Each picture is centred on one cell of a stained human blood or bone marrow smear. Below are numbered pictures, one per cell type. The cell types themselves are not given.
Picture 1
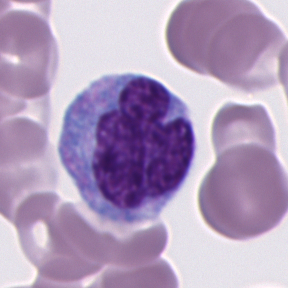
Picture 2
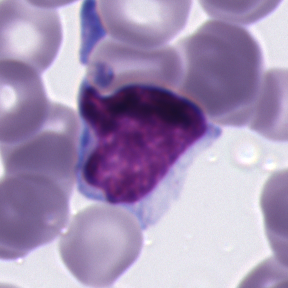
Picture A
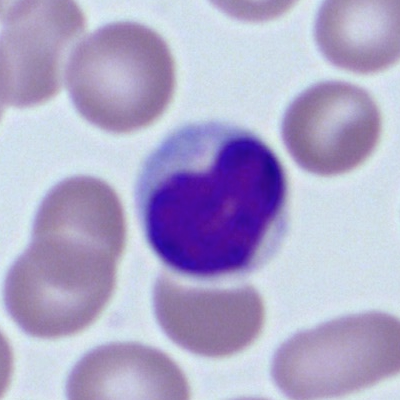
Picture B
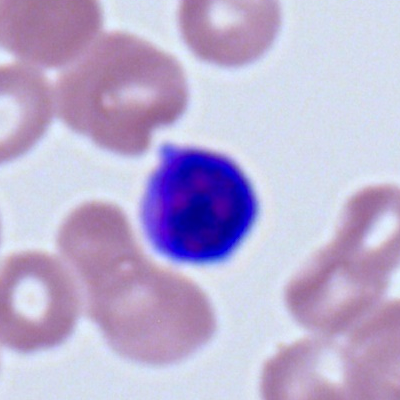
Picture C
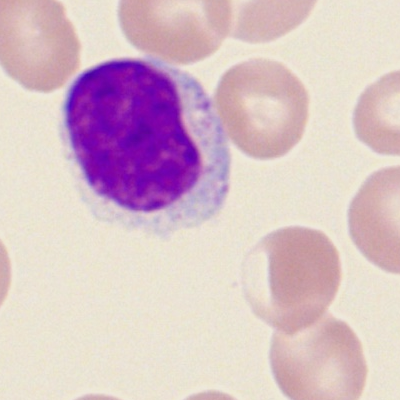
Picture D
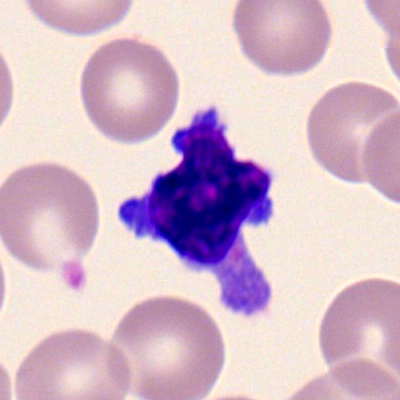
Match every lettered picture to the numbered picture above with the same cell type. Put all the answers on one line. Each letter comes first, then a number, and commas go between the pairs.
A 2, B 2, C 2, D 2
